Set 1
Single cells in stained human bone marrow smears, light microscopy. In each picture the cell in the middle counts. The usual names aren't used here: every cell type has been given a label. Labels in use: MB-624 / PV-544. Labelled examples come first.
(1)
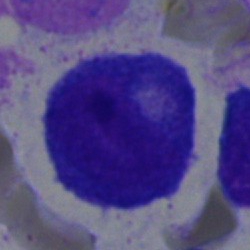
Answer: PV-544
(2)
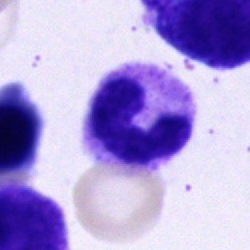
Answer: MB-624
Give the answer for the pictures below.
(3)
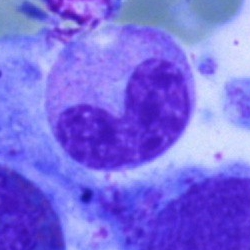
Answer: MB-624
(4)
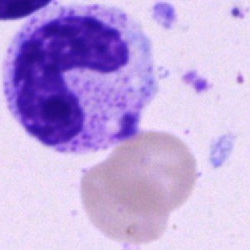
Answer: MB-624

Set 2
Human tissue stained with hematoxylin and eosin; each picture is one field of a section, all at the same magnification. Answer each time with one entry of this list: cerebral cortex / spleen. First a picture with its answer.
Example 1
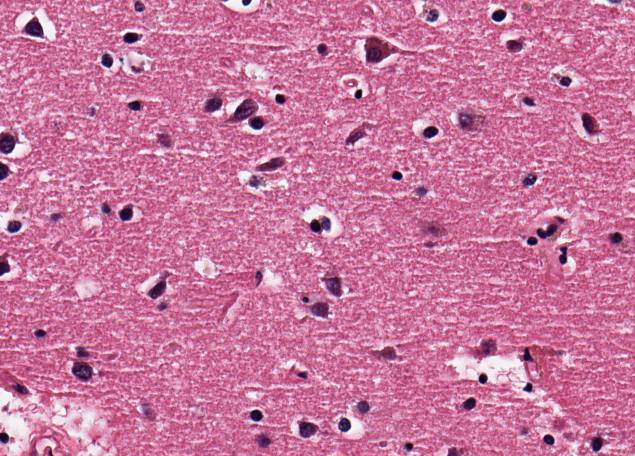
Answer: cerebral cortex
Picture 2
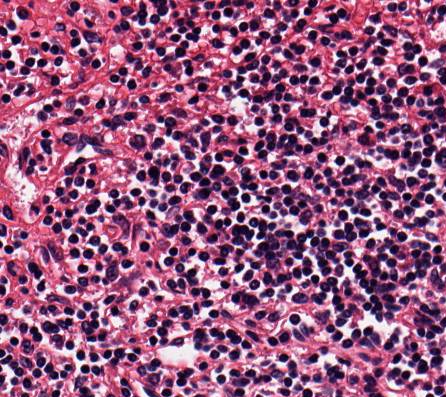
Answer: spleen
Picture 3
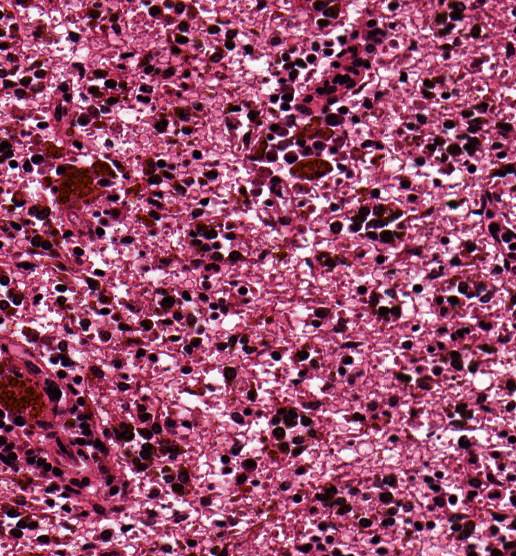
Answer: spleen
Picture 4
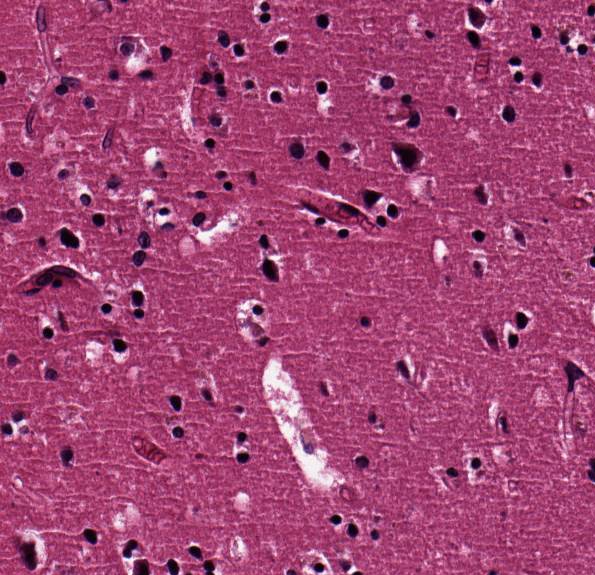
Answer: cerebral cortex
